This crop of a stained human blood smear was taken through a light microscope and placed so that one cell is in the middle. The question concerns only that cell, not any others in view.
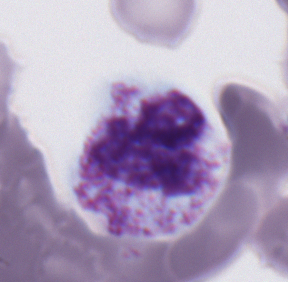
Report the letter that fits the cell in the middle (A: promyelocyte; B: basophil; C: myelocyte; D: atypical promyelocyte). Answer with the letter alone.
B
